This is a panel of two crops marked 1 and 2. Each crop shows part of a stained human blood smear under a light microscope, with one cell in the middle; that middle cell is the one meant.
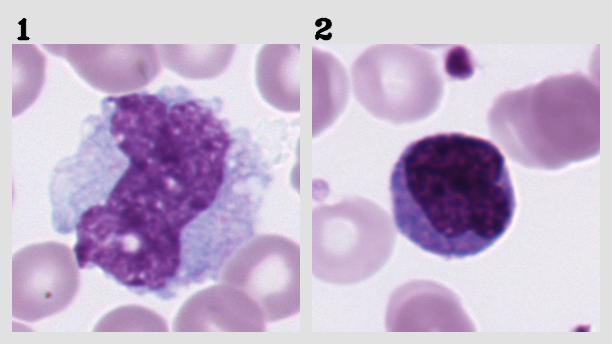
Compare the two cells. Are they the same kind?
yes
